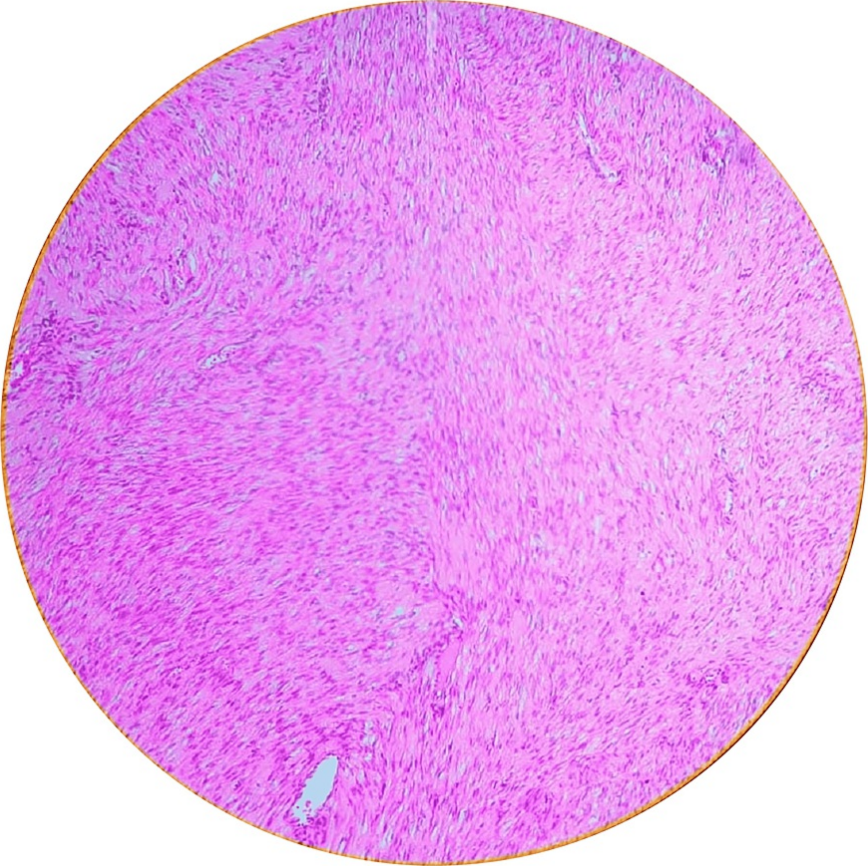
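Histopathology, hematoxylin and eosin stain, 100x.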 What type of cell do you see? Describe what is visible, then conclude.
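The field is filled with elongated cells. The cells run in streaming, intersecting bundles. The cytoplasm is pink.
Spindle cells.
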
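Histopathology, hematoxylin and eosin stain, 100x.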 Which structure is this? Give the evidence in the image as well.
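Bundles. The elongated cells are grouped in bands that sweep across the field. Neighbouring bands run in different directions.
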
